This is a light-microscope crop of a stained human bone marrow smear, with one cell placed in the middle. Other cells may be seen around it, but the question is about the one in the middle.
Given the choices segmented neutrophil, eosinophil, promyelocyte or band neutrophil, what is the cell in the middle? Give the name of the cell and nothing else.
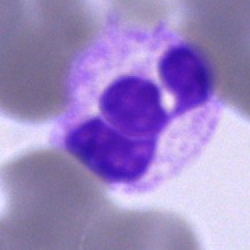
segmented neutrophil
